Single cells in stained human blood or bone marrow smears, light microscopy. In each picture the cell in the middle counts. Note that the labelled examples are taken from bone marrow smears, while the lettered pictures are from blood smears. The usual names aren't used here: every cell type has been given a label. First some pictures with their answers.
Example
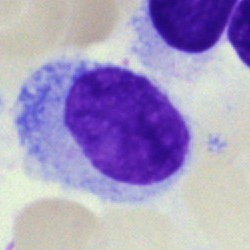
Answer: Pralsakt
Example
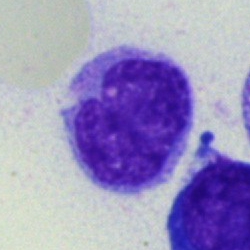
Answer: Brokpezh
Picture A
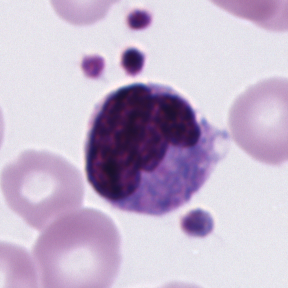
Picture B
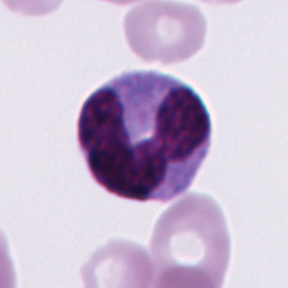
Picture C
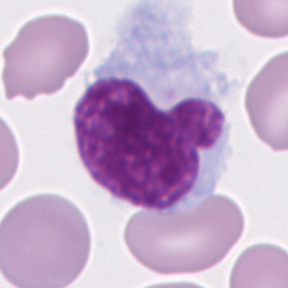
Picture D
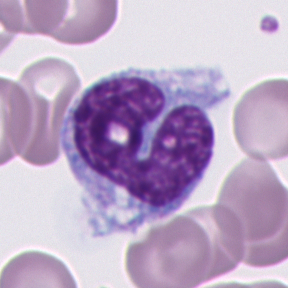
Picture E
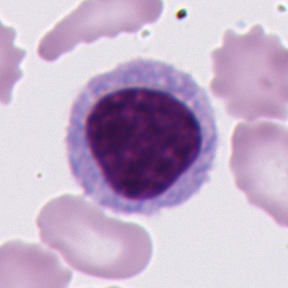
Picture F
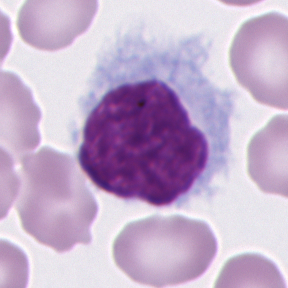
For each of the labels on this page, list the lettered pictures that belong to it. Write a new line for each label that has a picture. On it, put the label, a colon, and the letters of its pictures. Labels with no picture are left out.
Pralsakt: C, E, F
Brokpezh: A, B, D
